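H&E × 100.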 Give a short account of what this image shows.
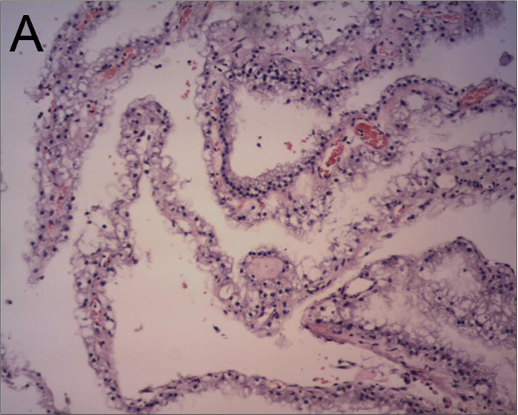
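Cystic tumor with large empty spaces separated by thin septa, lined by cells with clear cytoplasm and small uniform dark nuclei. Small groups of clear cells and small blood-filled vessels lie within the septal walls.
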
